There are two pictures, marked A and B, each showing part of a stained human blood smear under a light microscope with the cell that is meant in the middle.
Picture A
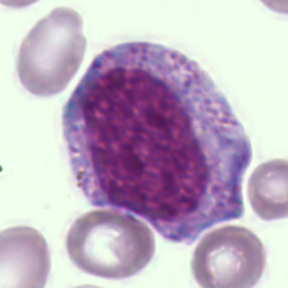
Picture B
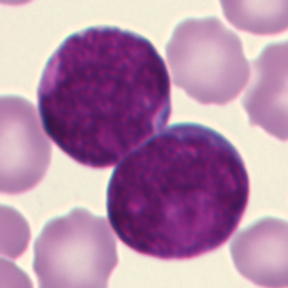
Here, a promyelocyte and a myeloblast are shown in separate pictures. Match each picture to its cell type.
A: promyelocyte
B: myeloblast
